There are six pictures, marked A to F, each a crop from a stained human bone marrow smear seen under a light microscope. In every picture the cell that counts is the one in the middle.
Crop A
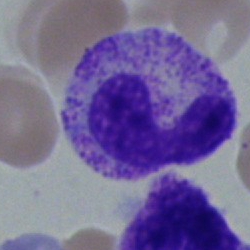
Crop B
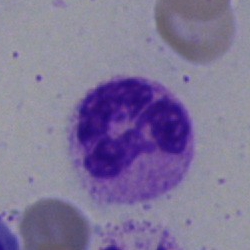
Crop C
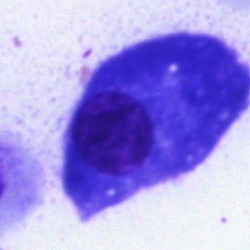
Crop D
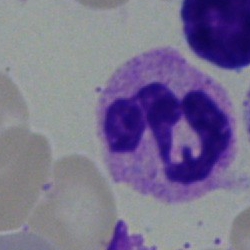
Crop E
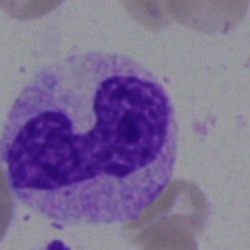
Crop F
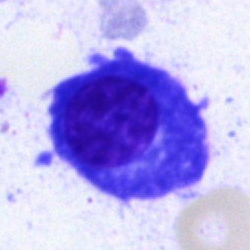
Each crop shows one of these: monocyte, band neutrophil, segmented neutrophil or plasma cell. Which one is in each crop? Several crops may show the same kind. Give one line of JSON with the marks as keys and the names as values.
{"A": "band neutrophil", "B": "segmented neutrophil", "C": "plasma cell", "D": "segmented neutrophil", "E": "band neutrophil", "F": "plasma cell"}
